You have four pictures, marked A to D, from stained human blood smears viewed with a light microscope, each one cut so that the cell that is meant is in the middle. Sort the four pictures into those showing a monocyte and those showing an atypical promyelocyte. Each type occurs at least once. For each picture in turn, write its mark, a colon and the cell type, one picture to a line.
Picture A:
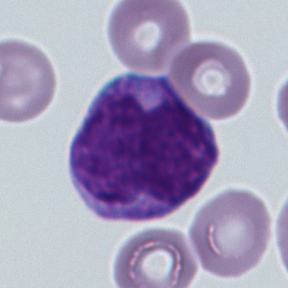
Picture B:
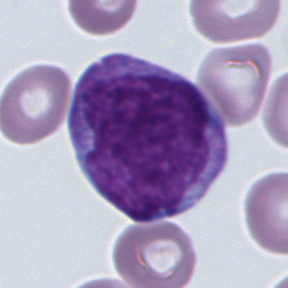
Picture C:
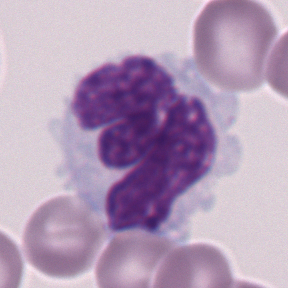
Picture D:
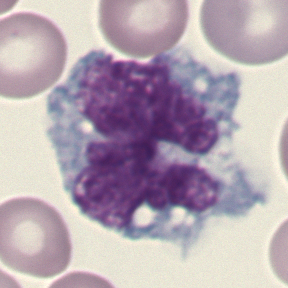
A: atypical promyelocyte
B: atypical promyelocyte
C: monocyte
D: monocyte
